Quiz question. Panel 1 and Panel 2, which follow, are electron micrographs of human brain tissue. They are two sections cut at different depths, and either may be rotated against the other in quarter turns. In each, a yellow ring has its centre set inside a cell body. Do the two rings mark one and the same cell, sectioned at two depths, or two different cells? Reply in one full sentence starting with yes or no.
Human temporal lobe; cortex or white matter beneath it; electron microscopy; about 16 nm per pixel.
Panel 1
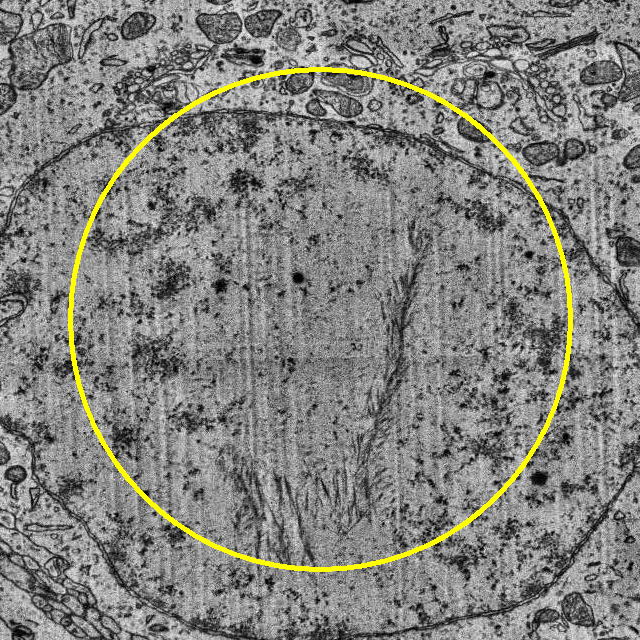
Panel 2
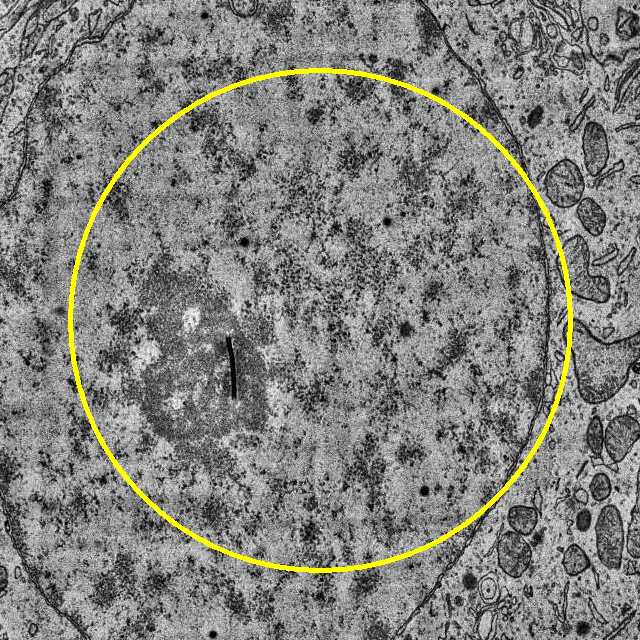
Yes, the marked cell is the same in both rings.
